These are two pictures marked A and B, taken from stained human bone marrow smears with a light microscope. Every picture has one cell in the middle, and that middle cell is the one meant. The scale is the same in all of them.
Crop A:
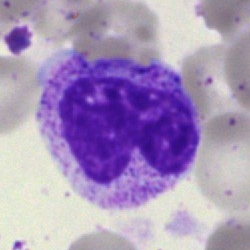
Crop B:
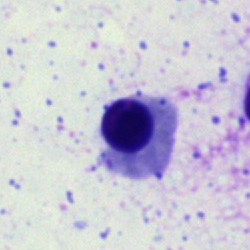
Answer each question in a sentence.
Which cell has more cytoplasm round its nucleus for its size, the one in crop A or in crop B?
In crop B the nucleus takes up the smaller part of its cell.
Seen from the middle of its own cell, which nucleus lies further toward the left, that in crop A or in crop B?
It is the nucleus in crop B that lies further toward the left of its cell.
